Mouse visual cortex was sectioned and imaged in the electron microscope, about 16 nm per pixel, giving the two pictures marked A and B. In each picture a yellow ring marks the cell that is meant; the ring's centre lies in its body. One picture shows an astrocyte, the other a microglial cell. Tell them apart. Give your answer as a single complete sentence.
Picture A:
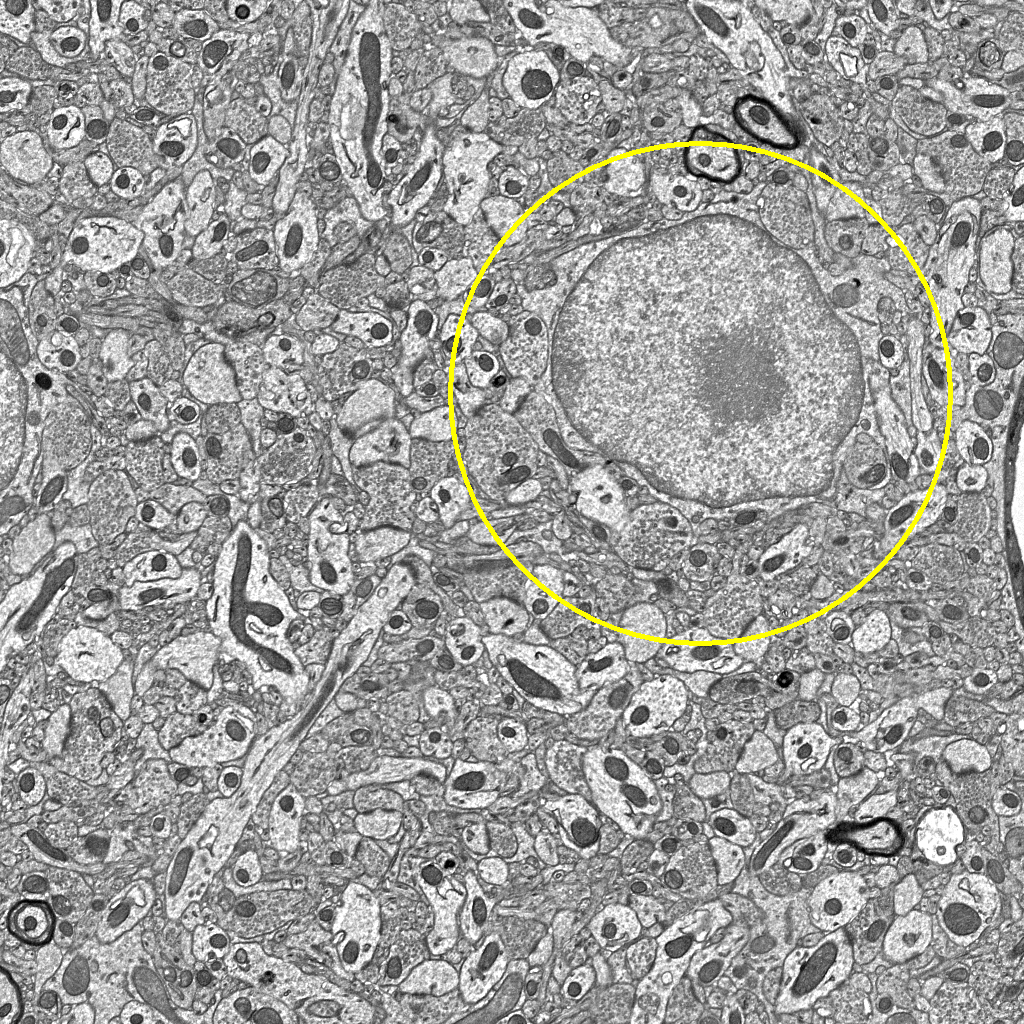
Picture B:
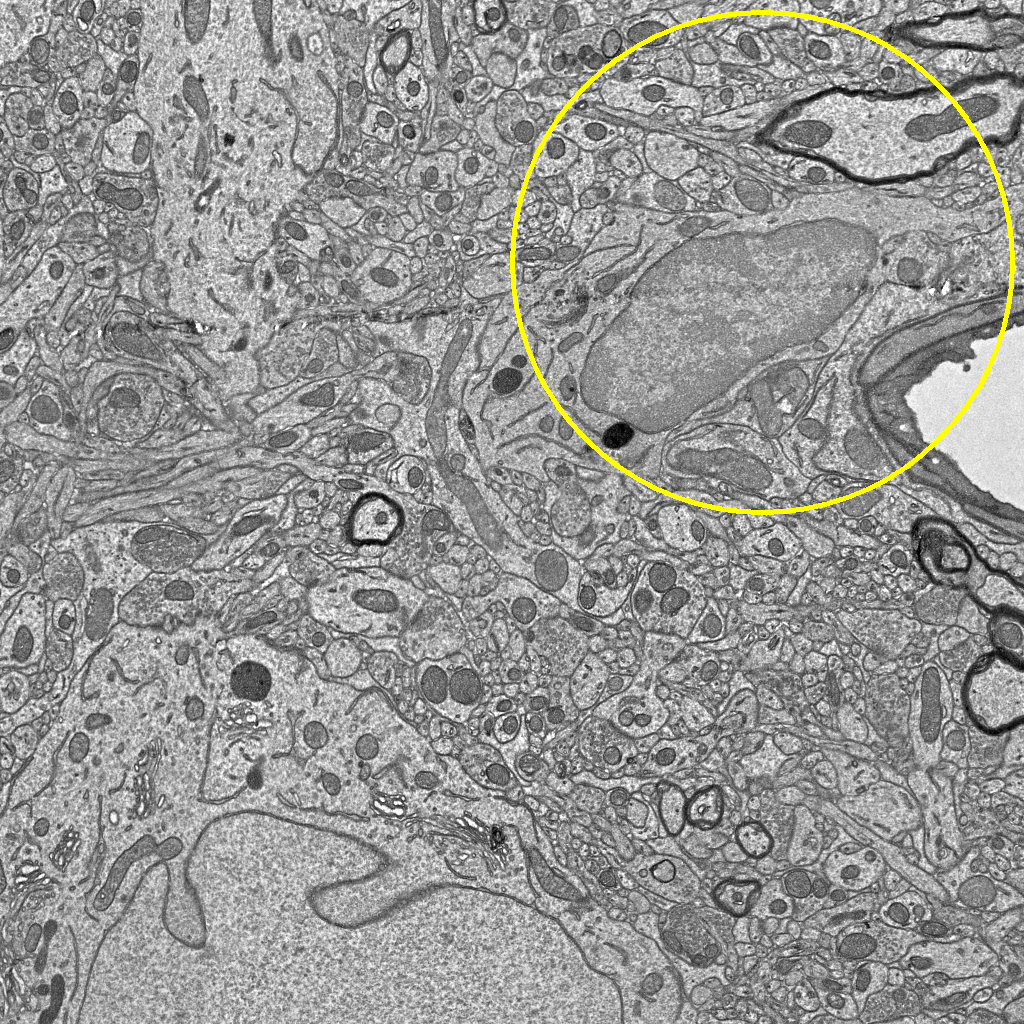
Picture A is of an astrocyte, and picture B is of a microglial cell.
